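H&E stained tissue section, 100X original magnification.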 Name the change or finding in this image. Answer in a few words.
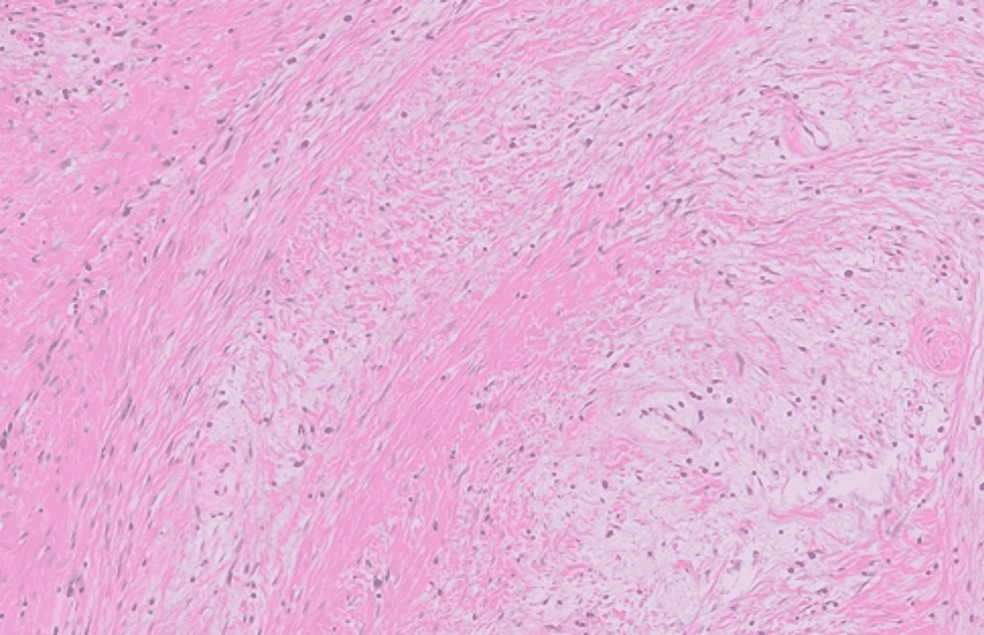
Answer: Alternating zones of high- and low-density collagen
